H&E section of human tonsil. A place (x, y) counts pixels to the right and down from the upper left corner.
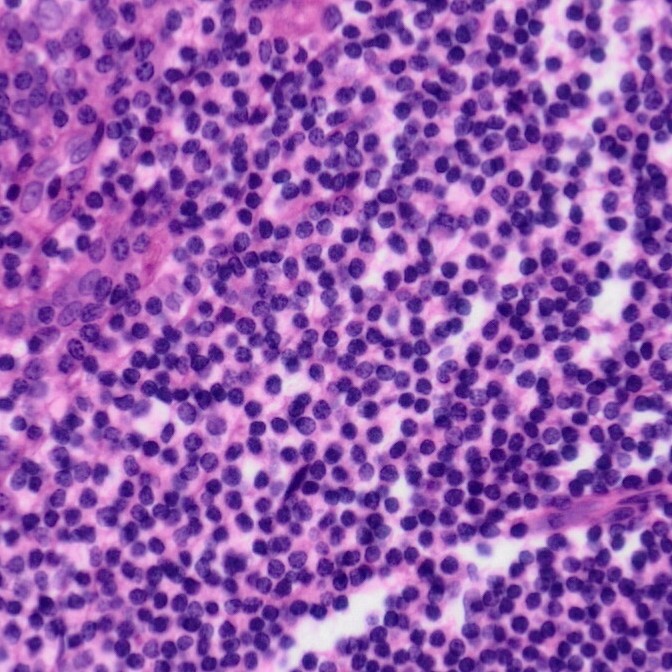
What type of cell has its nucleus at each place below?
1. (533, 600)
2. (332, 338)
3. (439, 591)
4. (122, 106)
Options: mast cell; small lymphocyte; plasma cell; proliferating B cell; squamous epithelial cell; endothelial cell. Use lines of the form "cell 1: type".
cell 1: small lymphocyte
cell 2: small lymphocyte
cell 3: small lymphocyte
cell 4: plasma cell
